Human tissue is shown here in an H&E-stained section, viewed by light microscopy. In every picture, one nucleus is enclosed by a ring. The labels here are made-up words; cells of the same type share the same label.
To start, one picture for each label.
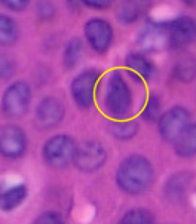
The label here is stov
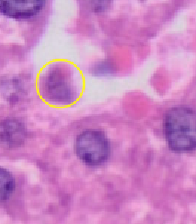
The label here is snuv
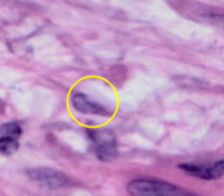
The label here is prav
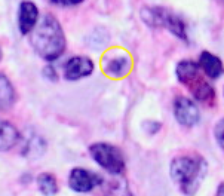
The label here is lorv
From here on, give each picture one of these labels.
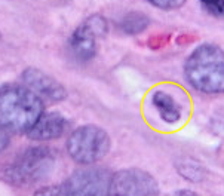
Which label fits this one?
lorv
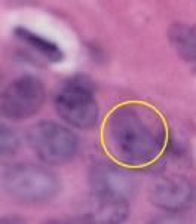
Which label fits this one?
stov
